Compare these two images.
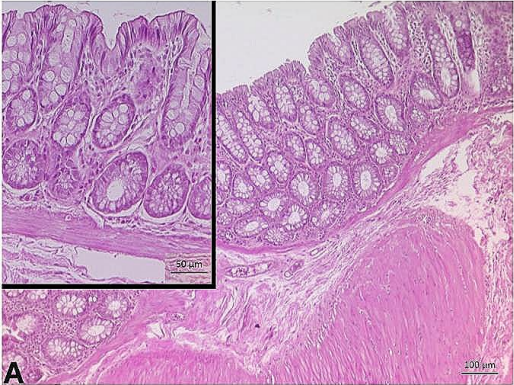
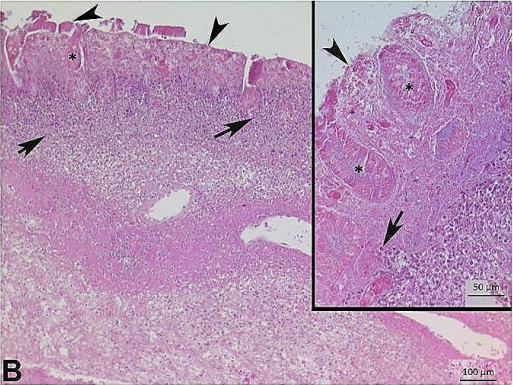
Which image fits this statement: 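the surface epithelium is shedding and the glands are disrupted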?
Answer: The second image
